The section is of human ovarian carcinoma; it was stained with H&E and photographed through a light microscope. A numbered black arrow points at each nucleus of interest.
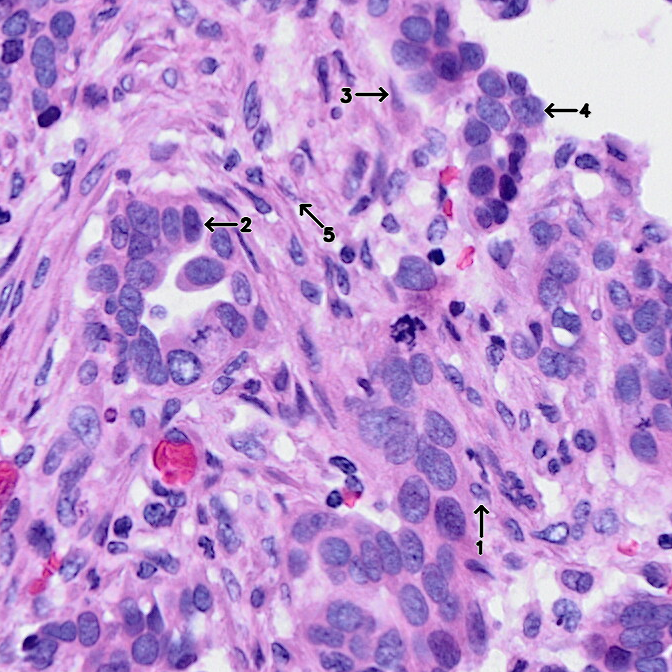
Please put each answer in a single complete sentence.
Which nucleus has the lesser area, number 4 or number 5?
The smaller nucleus is 5, and 4 covers roughly 4 times its area.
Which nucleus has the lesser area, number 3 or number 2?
The smaller nucleus is 3, and 2 covers roughly 2 times its area.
